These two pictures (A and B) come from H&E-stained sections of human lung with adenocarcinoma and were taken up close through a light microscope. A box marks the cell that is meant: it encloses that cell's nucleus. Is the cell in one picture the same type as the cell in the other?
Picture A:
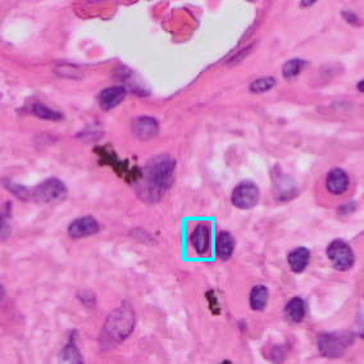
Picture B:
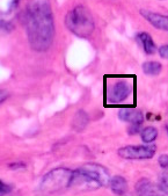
no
